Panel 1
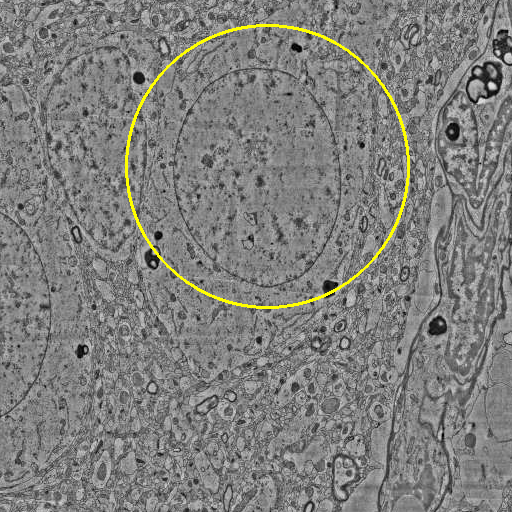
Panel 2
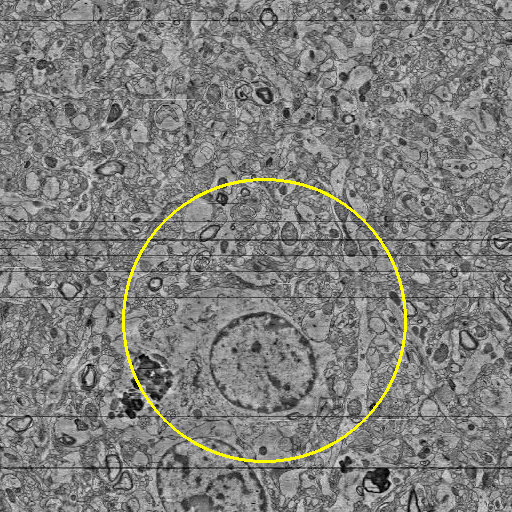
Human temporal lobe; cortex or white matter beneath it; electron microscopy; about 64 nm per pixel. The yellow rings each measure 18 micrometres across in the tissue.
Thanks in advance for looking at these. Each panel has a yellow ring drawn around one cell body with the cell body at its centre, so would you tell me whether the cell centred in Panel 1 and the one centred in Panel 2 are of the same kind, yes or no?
no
